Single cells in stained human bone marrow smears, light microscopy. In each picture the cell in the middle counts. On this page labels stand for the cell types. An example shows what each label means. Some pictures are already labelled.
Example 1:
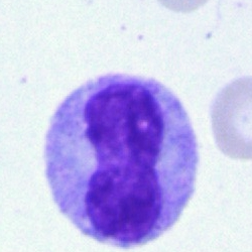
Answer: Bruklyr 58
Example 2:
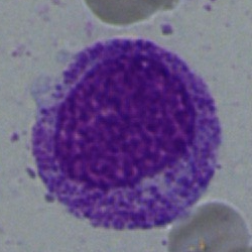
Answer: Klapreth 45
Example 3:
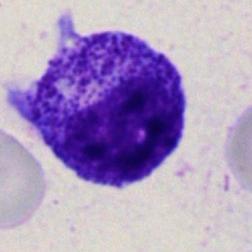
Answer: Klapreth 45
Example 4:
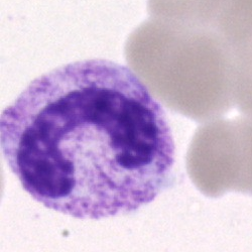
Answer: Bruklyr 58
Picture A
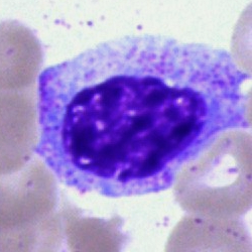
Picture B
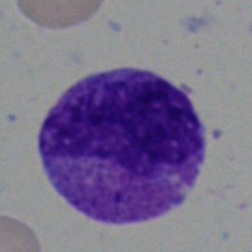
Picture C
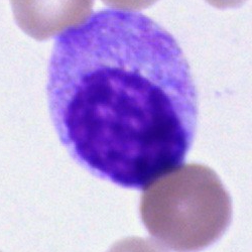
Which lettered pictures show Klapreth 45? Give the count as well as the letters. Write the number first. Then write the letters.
3, namely A, B, C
